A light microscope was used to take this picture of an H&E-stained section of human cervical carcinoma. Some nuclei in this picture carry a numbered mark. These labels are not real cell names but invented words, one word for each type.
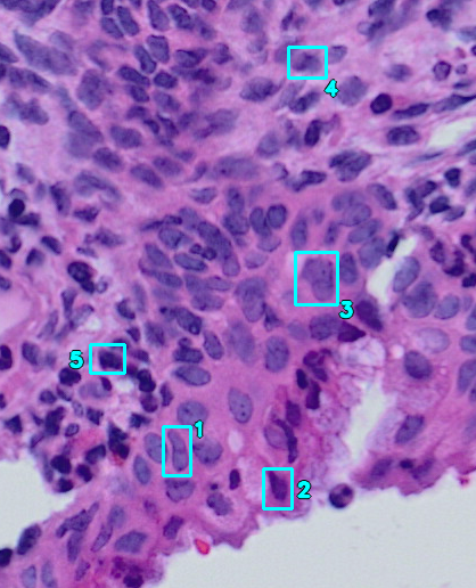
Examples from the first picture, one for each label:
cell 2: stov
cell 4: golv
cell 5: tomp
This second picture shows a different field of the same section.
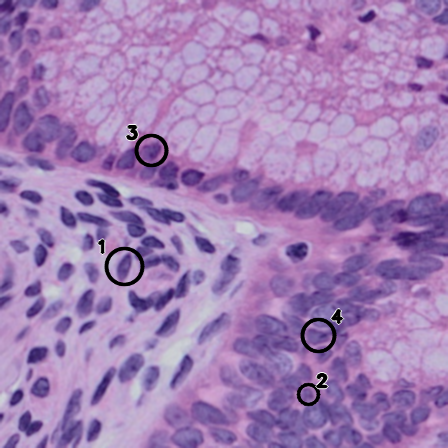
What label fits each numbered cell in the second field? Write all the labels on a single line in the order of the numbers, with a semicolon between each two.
golv; stov; stov; stov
